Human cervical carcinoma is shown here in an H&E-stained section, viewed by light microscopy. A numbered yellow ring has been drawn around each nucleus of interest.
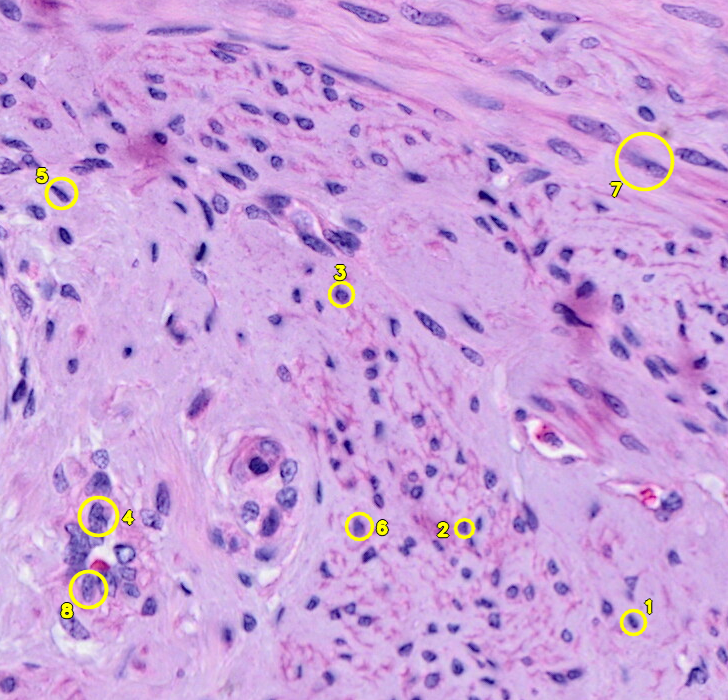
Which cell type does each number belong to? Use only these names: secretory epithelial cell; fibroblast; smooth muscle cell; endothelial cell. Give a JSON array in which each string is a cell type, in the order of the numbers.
["fibroblast", "smooth muscle cell", "smooth muscle cell", "endothelial cell", "fibroblast", "smooth muscle cell", "smooth muscle cell", "endothelial cell"]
